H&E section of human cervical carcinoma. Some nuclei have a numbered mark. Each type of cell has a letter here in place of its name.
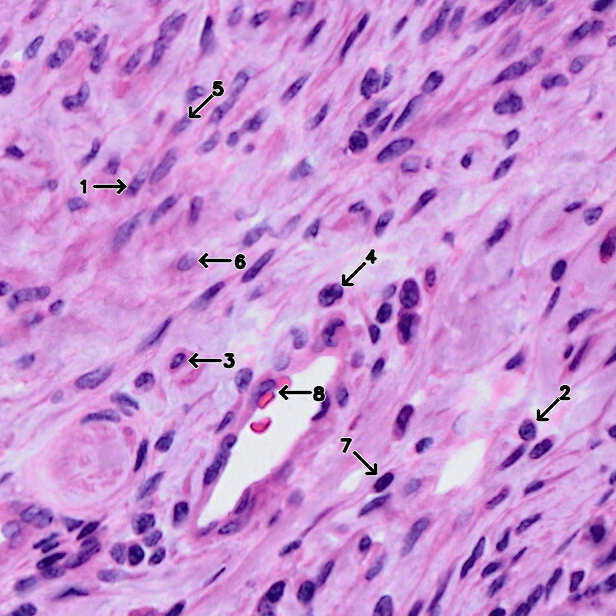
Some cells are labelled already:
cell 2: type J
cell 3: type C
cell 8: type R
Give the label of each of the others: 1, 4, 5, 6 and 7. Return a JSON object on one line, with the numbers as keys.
{"1": "type C", "4": "type J", "5": "type C", "6": "type C", "7": "type J"}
